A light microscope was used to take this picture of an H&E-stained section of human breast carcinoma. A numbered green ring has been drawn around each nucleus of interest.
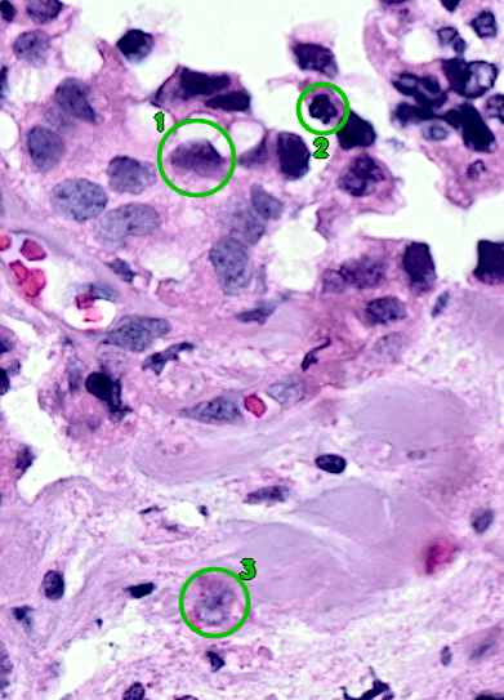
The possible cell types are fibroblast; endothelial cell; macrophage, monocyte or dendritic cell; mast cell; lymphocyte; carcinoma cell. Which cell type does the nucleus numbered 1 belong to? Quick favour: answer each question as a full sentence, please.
Among the marked nuclei, number 1 belongs to a carcinoma cell.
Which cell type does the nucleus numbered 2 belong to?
The cell marked with number 2 is a carcinoma cell.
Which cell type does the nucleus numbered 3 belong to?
The one labeled 3 is an endothelial cell, to put it simply.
